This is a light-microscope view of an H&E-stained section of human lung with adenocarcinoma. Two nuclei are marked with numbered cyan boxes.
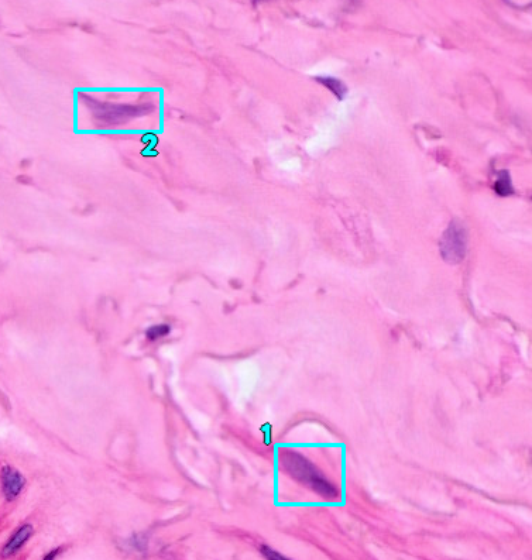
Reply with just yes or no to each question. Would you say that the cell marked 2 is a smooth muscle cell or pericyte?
no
